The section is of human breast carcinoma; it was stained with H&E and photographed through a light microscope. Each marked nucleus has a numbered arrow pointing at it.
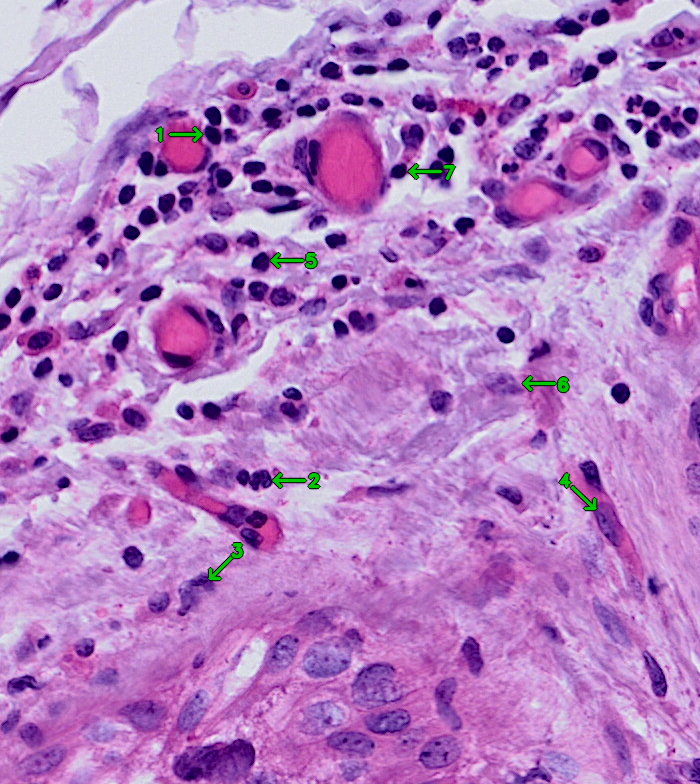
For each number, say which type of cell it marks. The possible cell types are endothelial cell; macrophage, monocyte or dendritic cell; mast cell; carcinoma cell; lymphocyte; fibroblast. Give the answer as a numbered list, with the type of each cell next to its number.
1. lymphocyte
2. lymphocyte
3. fibroblast
4. endothelial cell
5. lymphocyte
6. fibroblast
7. lymphocyte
